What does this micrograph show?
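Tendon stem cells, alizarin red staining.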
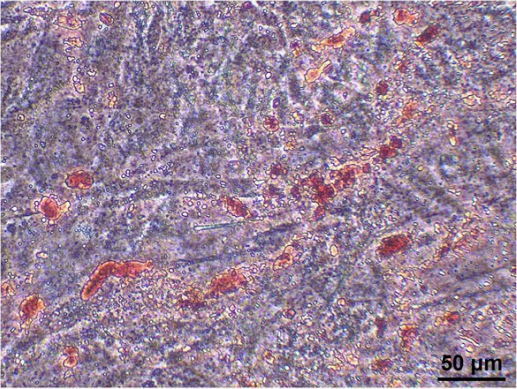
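A dense, confluent layer of cells covers the whole field, with a grainy, greyish-violet texture and many small refractile bodies. Scattered through this layer lie orange-red deposits, some small and rounded, others elongated or clustered into larger nodules. The red deposits are concentrated in some areas and sparse in others.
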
